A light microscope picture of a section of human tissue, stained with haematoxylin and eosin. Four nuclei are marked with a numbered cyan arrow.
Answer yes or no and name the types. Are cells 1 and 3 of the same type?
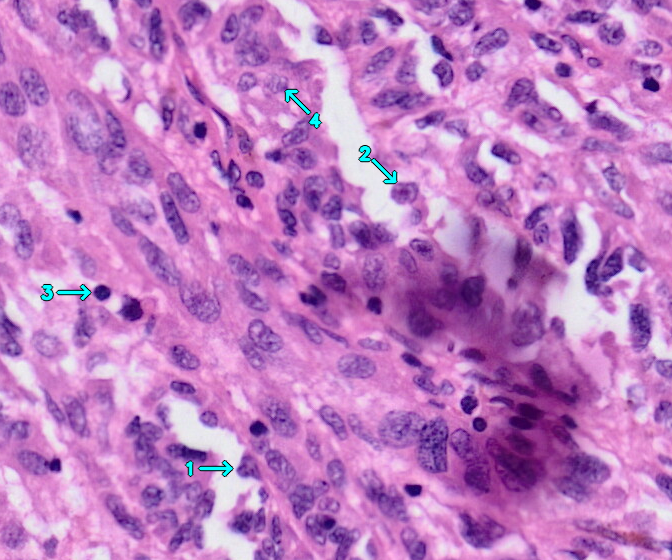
No, as to type, cell 1 is a melanoma cell, and cell 3 is a lymphocyte.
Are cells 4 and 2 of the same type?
Yes, cells number 4 and number 2 are both melanoma cells.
